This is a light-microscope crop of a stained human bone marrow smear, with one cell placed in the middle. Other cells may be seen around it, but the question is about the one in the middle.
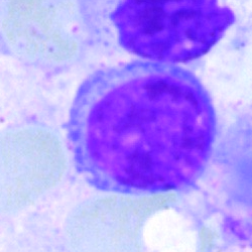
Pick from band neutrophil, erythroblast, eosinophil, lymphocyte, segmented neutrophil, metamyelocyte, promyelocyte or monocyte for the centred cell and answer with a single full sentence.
The cell marked by its central position in the crop is a lymphocyte.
